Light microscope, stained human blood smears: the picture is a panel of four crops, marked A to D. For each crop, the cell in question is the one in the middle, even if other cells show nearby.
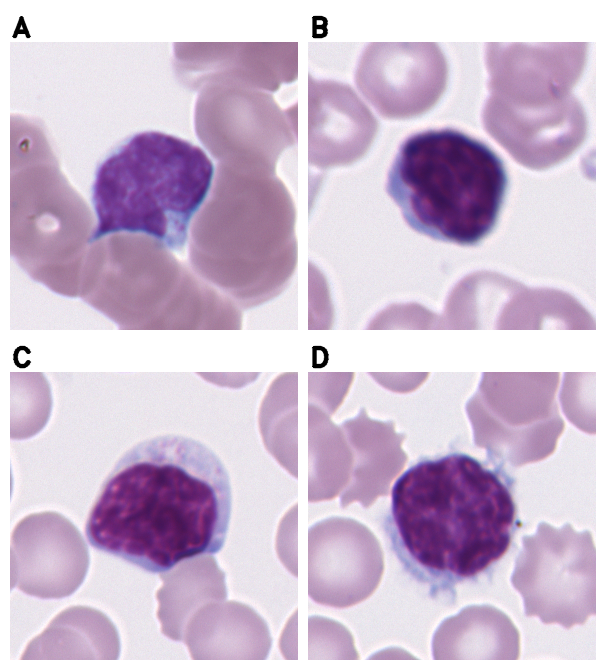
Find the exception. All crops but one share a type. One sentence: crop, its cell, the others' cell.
The odd one out is crop D, a hairy cell, and all other crops show typical lymphocytes.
